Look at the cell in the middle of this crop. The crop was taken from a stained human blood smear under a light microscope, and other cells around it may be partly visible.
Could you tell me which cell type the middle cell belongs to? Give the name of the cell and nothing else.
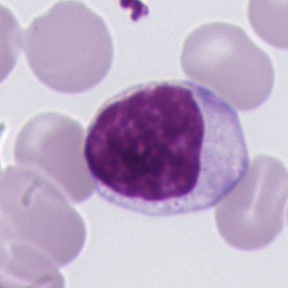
large granular lymphocyte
